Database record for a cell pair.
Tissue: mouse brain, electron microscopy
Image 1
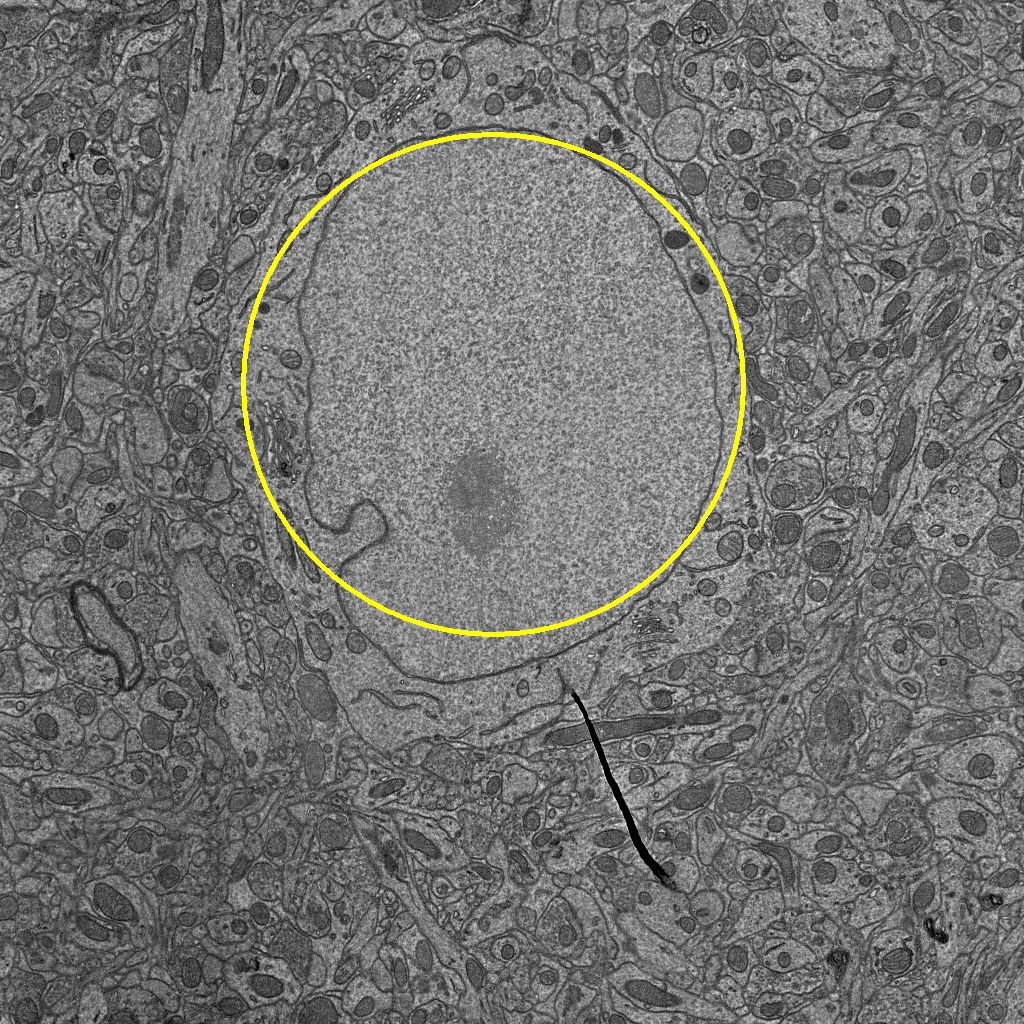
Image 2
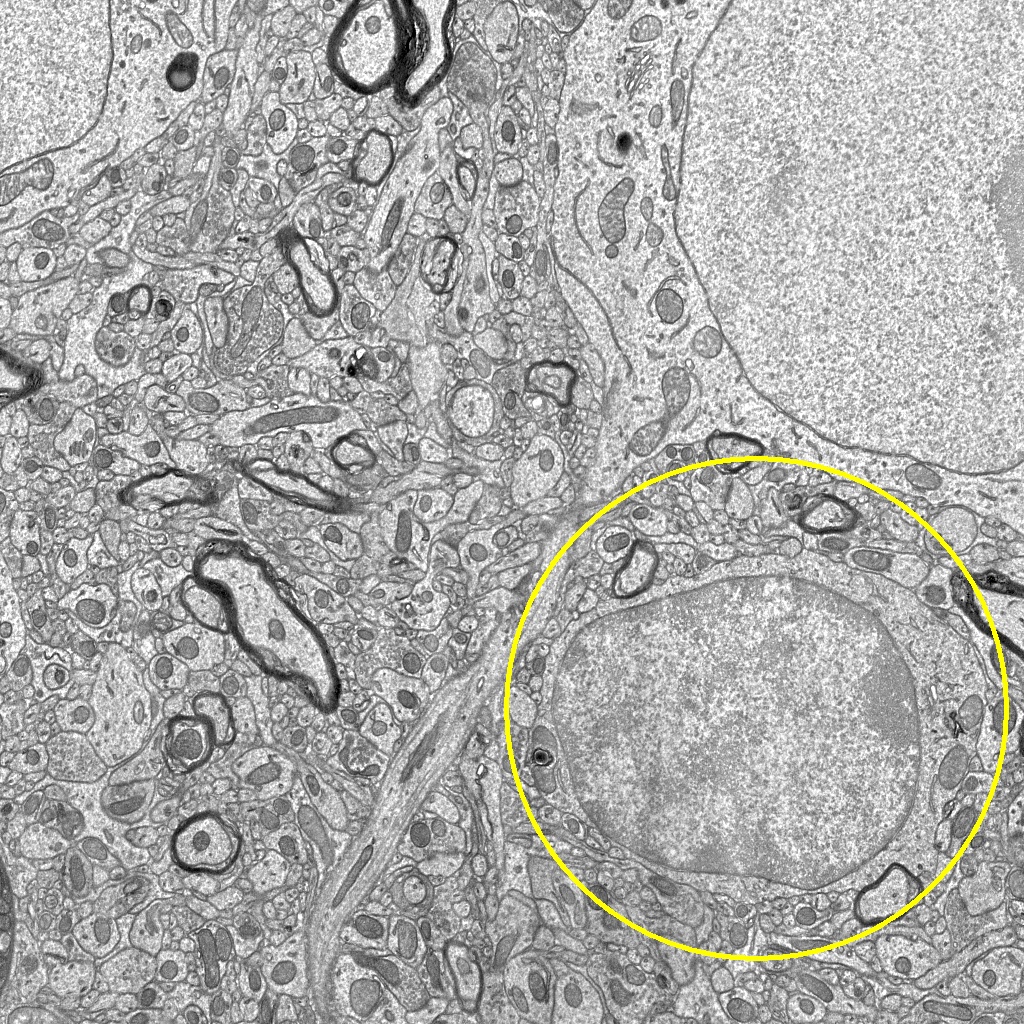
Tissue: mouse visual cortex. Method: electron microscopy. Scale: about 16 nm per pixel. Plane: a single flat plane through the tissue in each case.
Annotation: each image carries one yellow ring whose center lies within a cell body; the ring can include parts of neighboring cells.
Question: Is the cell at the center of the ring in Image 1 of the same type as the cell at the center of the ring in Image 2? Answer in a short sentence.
No, the cells are of two types.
